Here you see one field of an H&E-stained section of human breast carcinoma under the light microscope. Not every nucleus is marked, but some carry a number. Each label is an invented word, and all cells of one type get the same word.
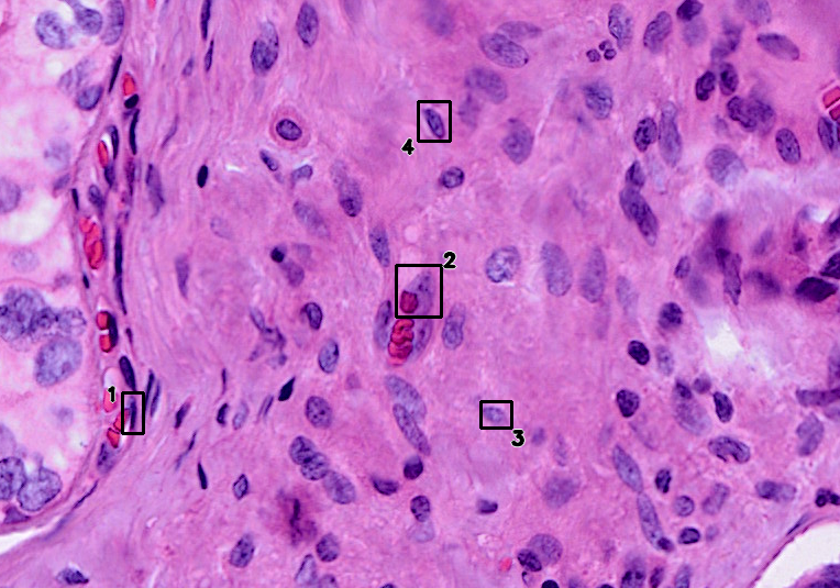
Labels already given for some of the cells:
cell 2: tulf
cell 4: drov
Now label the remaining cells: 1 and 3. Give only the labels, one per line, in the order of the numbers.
tulf
drov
